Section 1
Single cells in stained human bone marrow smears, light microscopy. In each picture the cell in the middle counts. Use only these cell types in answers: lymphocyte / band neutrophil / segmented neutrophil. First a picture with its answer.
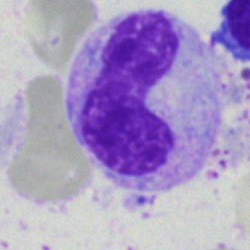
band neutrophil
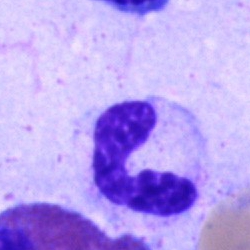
band neutrophil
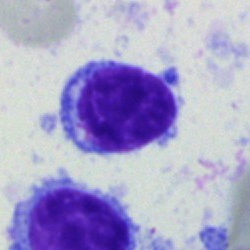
lymphocyte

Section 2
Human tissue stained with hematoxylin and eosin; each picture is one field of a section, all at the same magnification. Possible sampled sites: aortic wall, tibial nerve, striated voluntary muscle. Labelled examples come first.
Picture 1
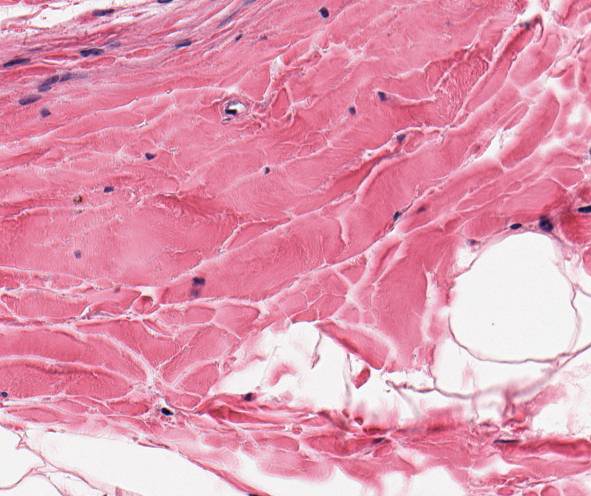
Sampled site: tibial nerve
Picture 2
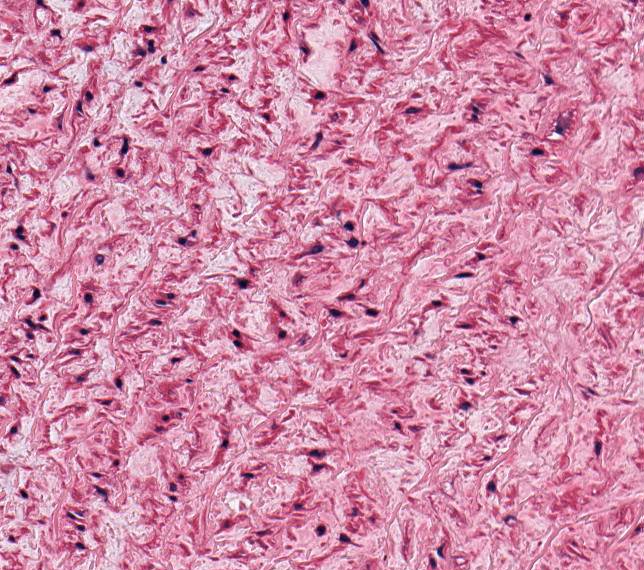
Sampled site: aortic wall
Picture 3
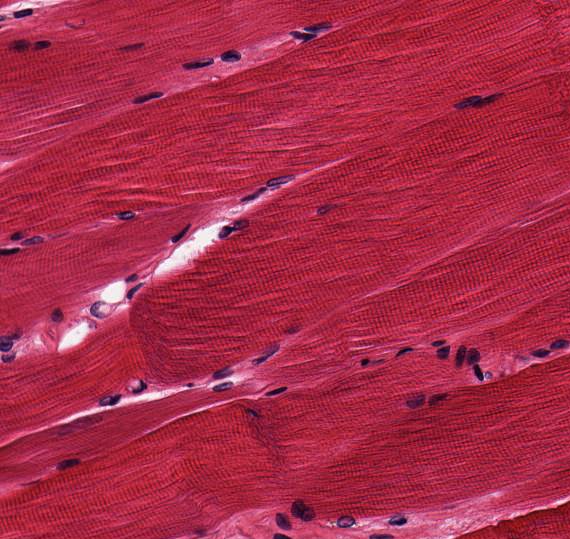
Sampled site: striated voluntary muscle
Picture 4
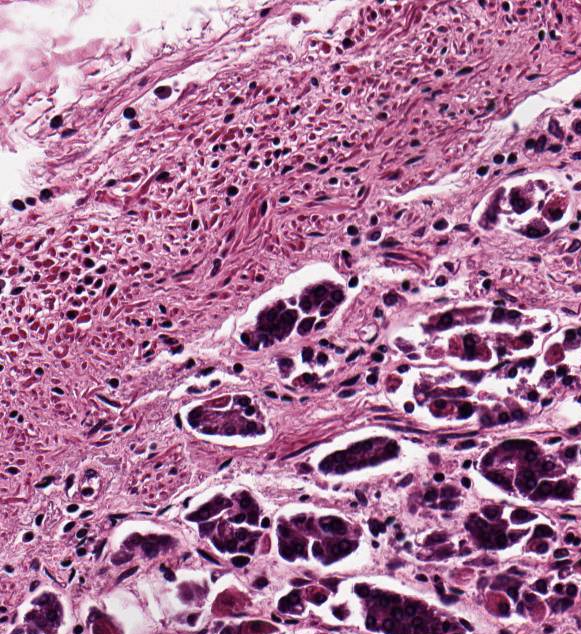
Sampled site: striated voluntary muscle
